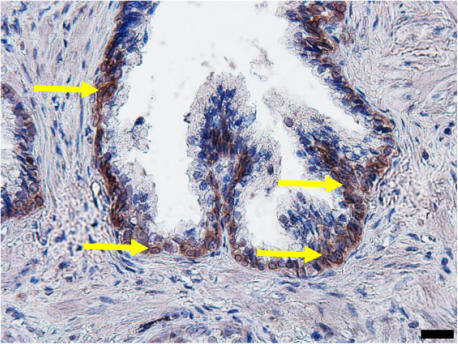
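The epithelial cells along the gland wall carry a strong dark-brown stain in their cytoplasm, forming a brown band around the lumen. Outside this band lies pinkish fibromuscular stroma with spindle-shaped nuclei, and some detached pale material and blue nuclei sit within the lumen.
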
